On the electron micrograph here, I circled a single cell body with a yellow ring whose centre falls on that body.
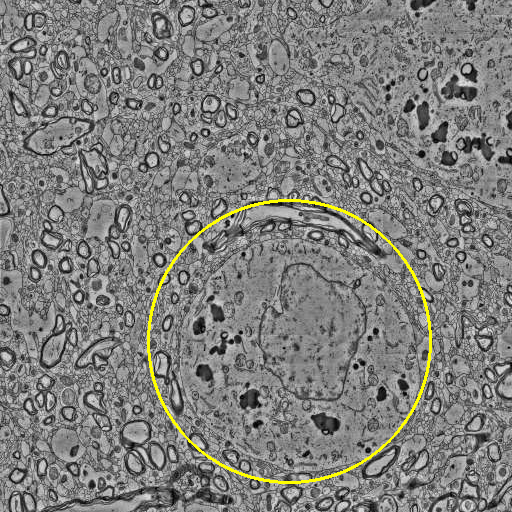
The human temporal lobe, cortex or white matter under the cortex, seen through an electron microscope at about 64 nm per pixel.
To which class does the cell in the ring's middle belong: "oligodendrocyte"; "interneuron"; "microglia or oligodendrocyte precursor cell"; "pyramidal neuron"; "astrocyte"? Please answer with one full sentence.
In this picture, the cell body circled at the ring's centre belongs to a pyramidal neuron.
